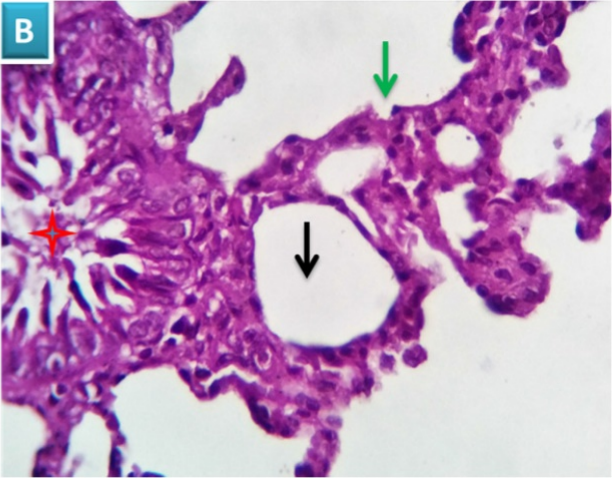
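Lung tissue with alveoli and a small airway. Thin pink alveolar walls lined by flattened cells with dark oval nuclei enclose clear air spaces. One of these spaces is large and rounded. At the left edge, an airway lining is thrown into narrow, radiating folds of pink tissue, with nuclei along them. Between the airway and the air spaces, the wall tissue is more cellular, with rounded and oval purple nuclei in pink cytoplasm. Branching thin septa extend toward the upper right, some ending in free edges.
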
